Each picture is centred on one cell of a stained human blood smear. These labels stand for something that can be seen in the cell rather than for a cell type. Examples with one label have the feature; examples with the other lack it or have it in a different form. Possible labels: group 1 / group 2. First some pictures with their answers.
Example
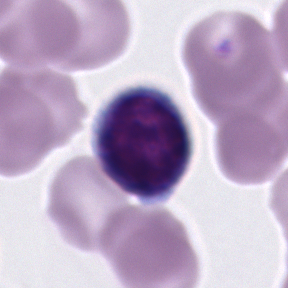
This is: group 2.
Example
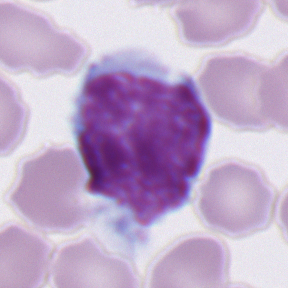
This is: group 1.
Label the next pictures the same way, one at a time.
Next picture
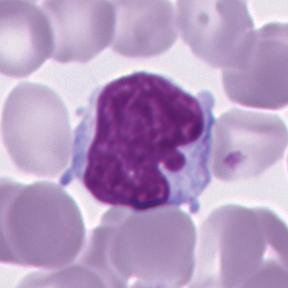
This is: group 1.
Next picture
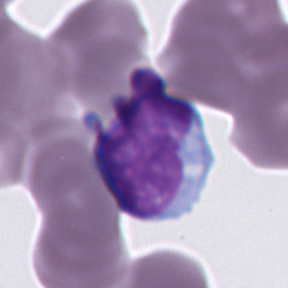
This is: group 1.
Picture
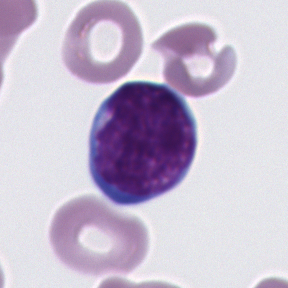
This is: group 2.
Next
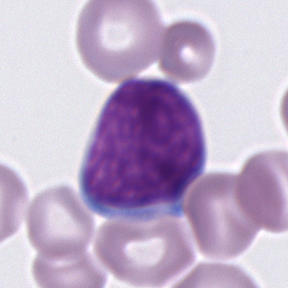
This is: group 2.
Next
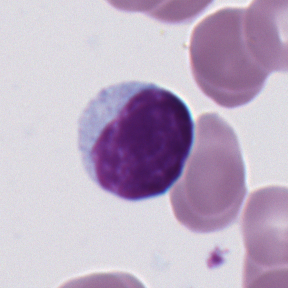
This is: group 2.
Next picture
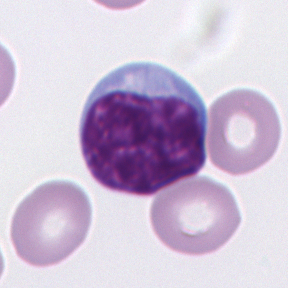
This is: group 2.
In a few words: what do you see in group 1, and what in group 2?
group 1: ragged outline or projections; group 2: smooth outline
